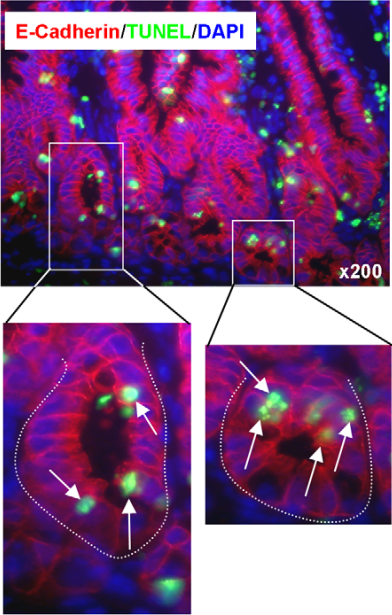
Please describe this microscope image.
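This is the base of the small intestinal mucosa, with villi above and crypts below, their epithelial cells outlined in red along their membranes and their nuclei in blue. Scattered among the epithelial cells of the crypts are small, bright green, condensed and partly fragmented nuclear bodies, which mark apoptotic epithelial cells. The enlargements show two crypts in cross-section, each a ring of columnar cells around a narrow lumen, with several green bodies lying within the epithelial ring. A few green bodies also lie outside the epithelium in the surrounding tissue.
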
